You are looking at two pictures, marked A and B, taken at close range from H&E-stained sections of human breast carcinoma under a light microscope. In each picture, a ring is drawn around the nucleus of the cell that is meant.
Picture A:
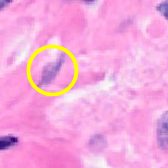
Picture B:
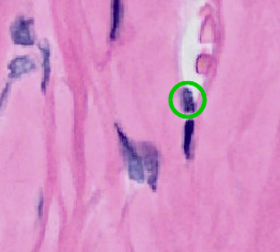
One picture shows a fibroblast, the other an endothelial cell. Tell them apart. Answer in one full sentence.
It is picture A that shows a fibroblast, and picture B that shows an endothelial cell.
